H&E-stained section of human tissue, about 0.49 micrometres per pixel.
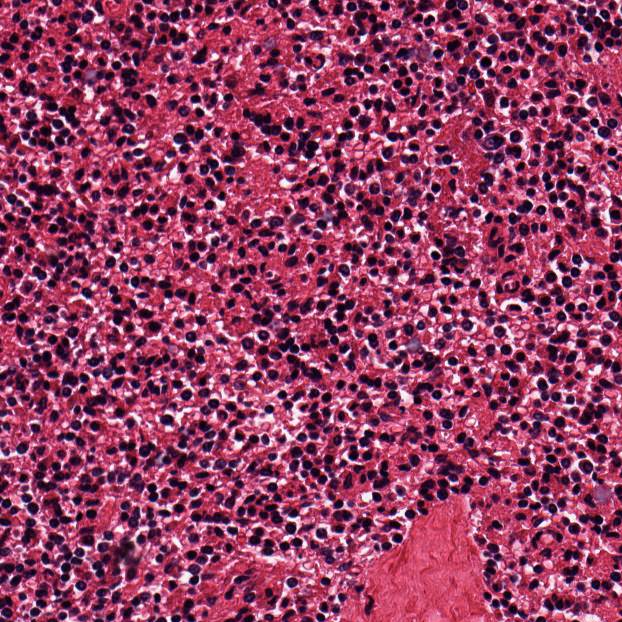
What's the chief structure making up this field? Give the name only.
red pulp of the spleen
